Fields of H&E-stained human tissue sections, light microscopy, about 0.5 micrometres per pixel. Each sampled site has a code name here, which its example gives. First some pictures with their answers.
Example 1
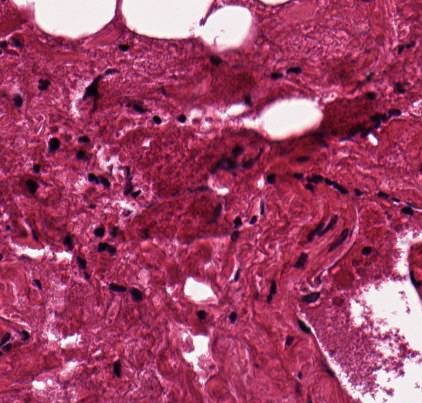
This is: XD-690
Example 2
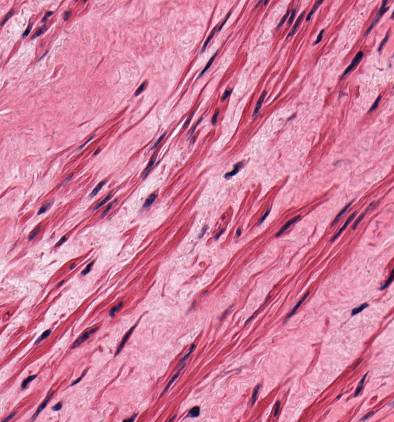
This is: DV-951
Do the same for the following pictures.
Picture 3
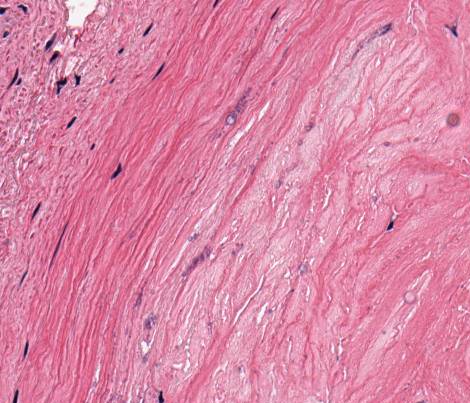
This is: DV-951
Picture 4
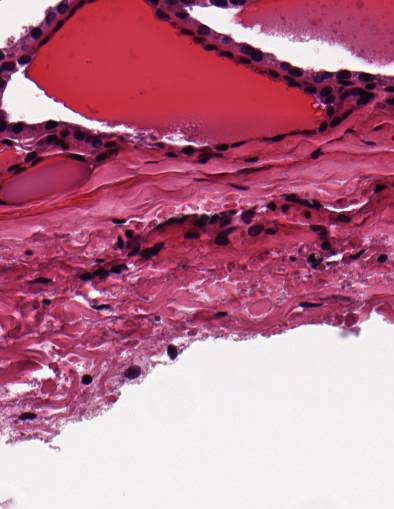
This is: XD-690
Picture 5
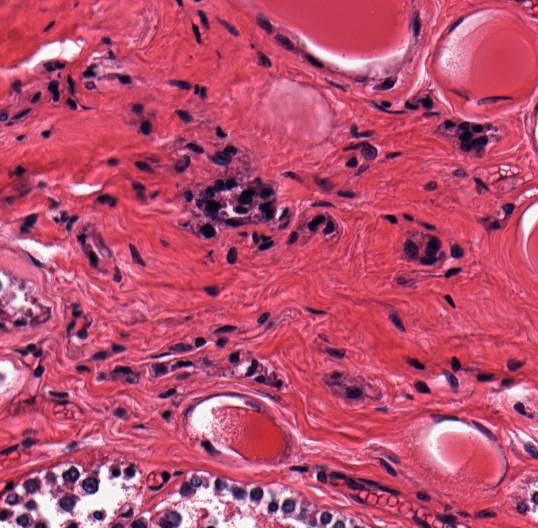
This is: XD-690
